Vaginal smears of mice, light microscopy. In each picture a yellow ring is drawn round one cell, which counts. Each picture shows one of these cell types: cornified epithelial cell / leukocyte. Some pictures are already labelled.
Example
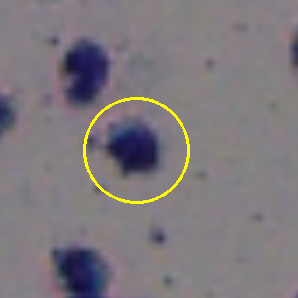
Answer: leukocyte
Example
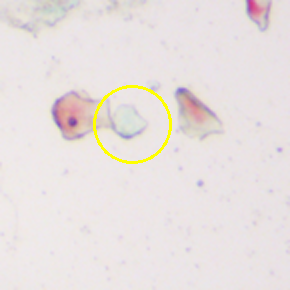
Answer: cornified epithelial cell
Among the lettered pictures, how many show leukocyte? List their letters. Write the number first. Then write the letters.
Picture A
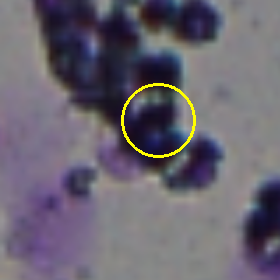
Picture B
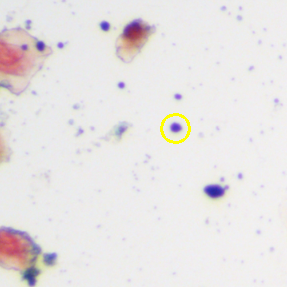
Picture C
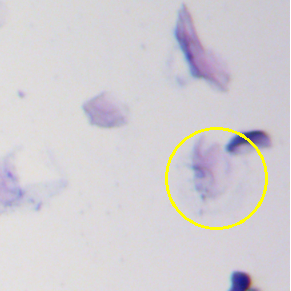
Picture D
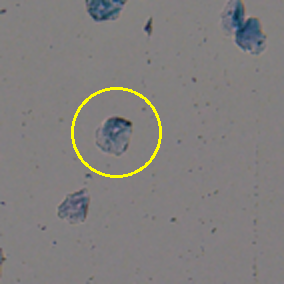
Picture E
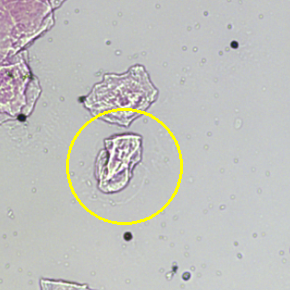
2: A, B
